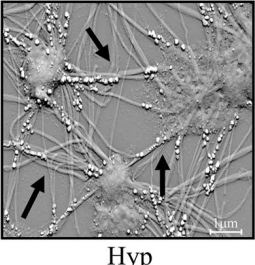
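Several flattened, spread cell bodies with rough surfaces sit on a smooth background, joined by a web of long thin strands along which many small round bodies are clustered. These are platelets that have spread and thrown out long filamentous protrusions, linking them into a network.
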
